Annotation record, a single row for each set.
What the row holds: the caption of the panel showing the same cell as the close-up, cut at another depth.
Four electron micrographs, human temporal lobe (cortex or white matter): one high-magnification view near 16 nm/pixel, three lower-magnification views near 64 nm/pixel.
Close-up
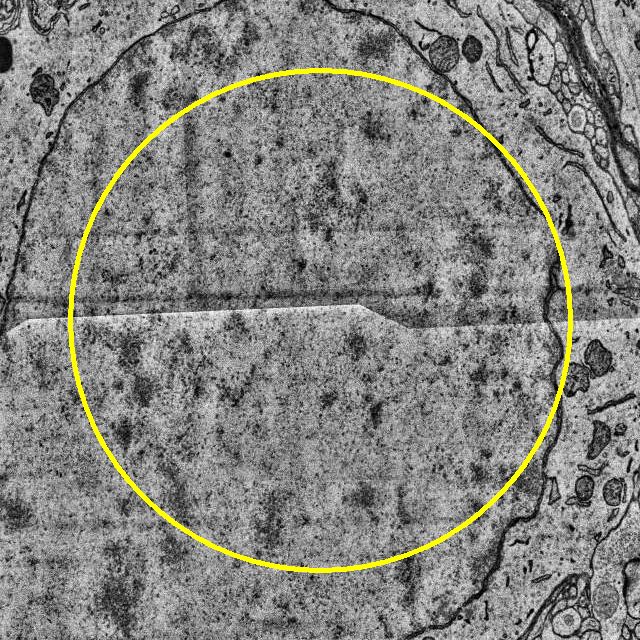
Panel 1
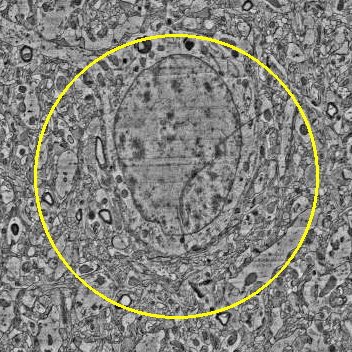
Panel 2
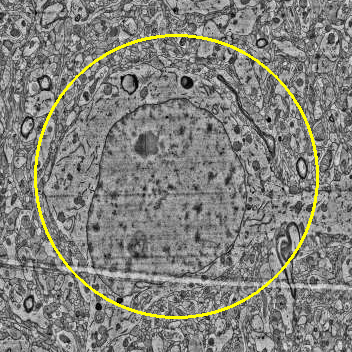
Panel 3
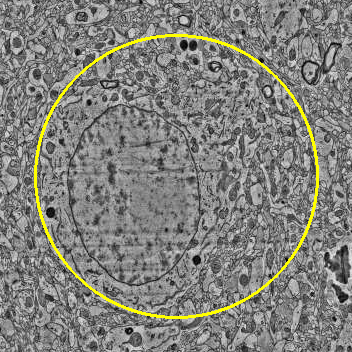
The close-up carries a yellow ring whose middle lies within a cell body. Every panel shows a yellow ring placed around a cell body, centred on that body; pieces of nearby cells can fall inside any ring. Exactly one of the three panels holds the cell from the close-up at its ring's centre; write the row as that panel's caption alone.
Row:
Panel 2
